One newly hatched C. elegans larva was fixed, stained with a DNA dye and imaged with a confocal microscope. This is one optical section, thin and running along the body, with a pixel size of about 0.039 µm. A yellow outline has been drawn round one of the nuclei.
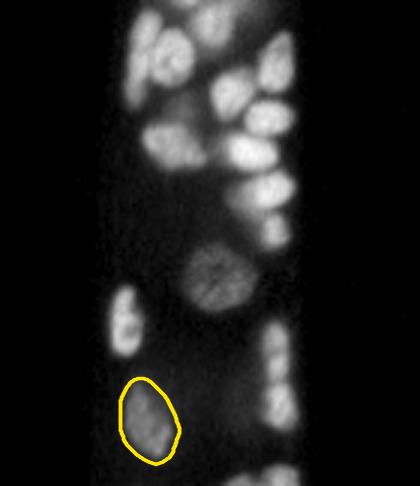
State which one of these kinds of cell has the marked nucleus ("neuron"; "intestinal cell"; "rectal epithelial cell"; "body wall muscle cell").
intestinal cell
